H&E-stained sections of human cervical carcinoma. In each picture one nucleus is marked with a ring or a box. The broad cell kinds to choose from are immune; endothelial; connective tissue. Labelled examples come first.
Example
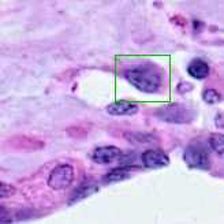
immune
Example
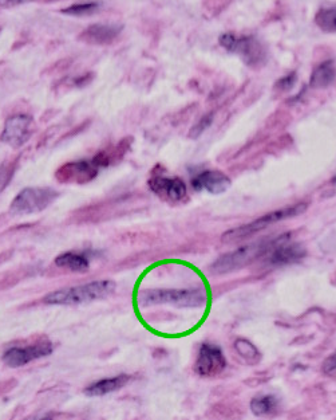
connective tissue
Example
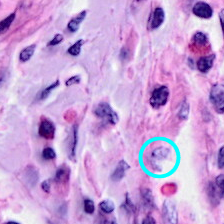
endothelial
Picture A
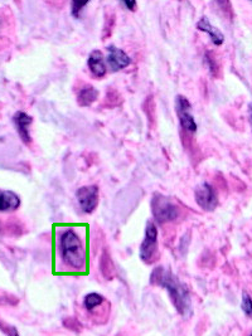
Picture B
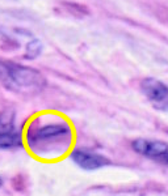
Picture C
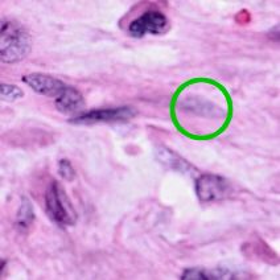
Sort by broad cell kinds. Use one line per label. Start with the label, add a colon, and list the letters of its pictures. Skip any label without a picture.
immune: A
endothelial: B
connective tissue: C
